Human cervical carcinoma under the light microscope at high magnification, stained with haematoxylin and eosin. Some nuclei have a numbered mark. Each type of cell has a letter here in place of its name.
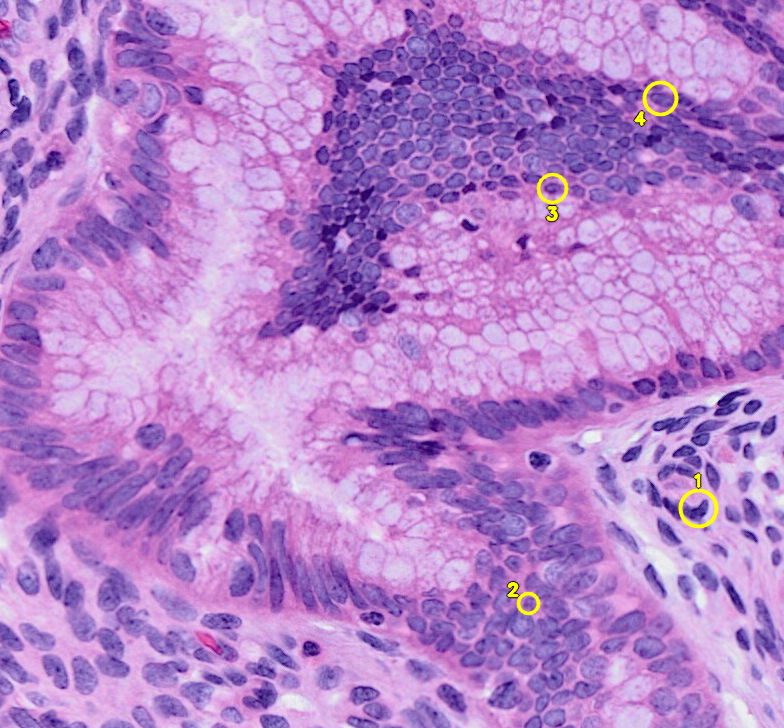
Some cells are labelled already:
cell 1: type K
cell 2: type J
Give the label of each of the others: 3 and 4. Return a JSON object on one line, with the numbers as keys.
{"3": "type J", "4": "type J"}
